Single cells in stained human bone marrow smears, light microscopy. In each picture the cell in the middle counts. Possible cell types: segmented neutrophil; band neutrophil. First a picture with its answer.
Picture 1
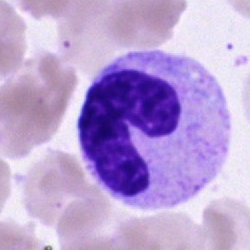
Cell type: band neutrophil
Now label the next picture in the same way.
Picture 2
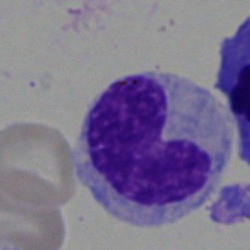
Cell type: band neutrophil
